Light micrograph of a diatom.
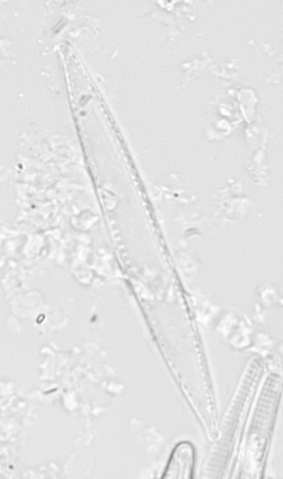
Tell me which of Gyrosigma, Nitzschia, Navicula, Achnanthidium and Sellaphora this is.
The picture shows Nitzschia.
